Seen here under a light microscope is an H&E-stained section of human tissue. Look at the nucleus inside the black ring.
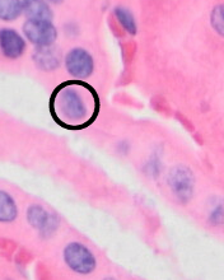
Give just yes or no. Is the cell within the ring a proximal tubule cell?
no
